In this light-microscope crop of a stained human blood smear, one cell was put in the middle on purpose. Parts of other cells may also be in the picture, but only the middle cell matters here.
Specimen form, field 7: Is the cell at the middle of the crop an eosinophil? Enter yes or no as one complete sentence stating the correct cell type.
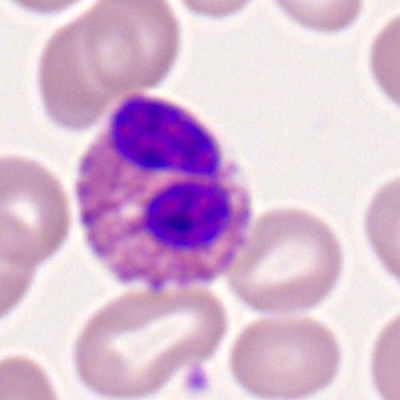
Yes, the cell in the centre is an eosinophil.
